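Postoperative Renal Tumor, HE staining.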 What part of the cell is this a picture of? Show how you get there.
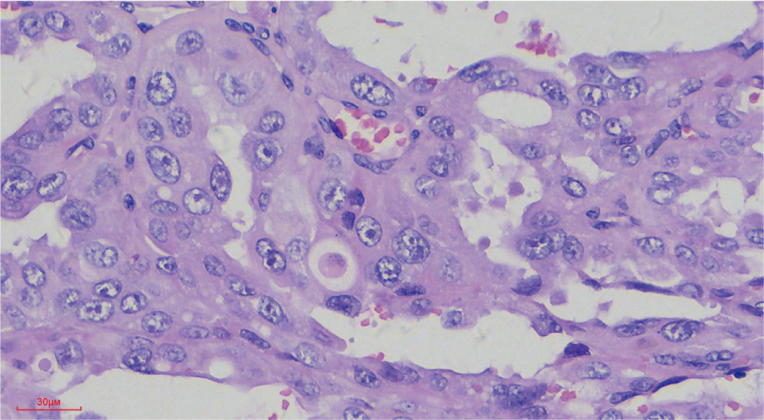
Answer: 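Many nuclei hold a distinct dark-pink to purple dot-like nucleolus. Nuclei are round to oval with vesicular chromatin. On this evidence: prominent eosinophilic nucleoli.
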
